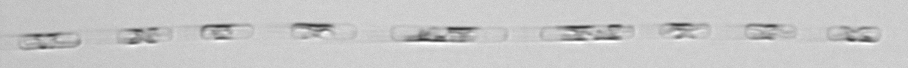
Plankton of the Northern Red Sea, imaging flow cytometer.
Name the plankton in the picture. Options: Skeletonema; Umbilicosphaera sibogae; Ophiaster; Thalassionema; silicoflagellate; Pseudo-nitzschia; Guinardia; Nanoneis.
Skeletonema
